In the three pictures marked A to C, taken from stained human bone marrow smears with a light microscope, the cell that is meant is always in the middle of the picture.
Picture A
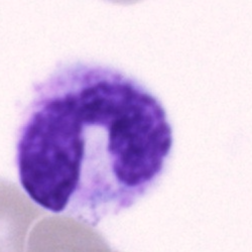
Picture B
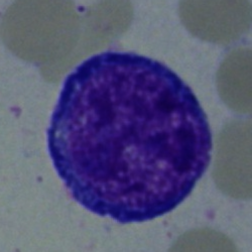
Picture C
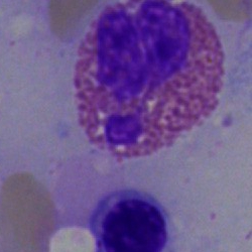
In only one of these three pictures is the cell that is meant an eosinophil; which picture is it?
C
